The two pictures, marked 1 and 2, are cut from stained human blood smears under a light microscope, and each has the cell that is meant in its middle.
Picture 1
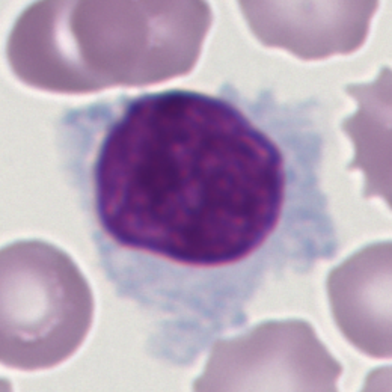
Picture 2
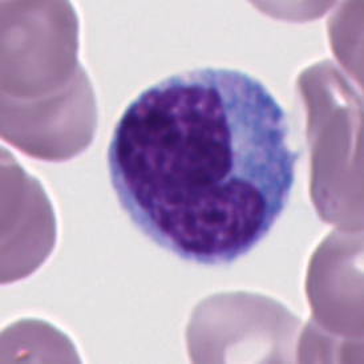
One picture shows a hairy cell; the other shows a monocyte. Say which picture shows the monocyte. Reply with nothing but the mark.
2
